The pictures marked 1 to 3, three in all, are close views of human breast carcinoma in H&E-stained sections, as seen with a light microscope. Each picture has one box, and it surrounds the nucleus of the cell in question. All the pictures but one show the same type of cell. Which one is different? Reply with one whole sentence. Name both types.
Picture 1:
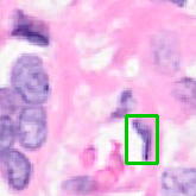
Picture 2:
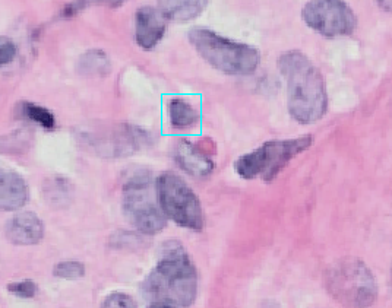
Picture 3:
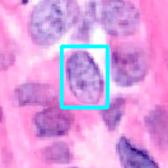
All pictures except 3 show endothelial cells; picture 3 shows a carcinoma cell.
